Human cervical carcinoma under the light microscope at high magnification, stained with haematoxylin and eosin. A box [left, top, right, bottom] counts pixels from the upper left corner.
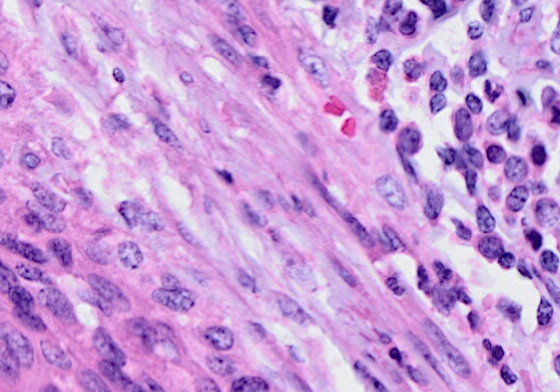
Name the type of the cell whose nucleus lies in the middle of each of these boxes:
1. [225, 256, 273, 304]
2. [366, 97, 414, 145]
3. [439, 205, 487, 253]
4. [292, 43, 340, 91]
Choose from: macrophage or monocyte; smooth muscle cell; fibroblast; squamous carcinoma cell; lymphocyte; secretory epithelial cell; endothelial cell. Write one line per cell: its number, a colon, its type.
1: fibroblast
2: lymphocyte
3: lymphocyte
4: endothelial cell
